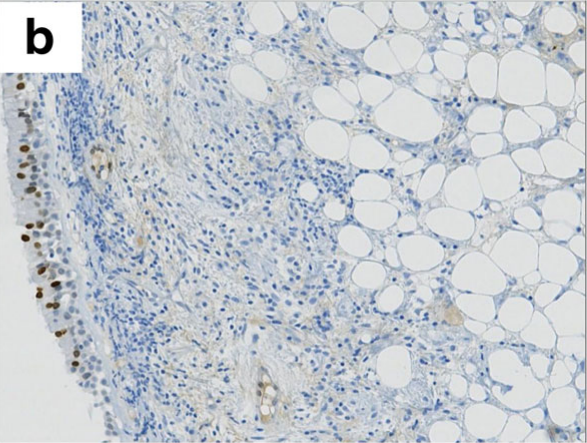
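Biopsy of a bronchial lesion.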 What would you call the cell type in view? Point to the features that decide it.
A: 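Adipose cells. Large empty vacuoles with thin walls fill the right side. Small blue nuclei sit flattened at the rims of the vacuoles.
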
